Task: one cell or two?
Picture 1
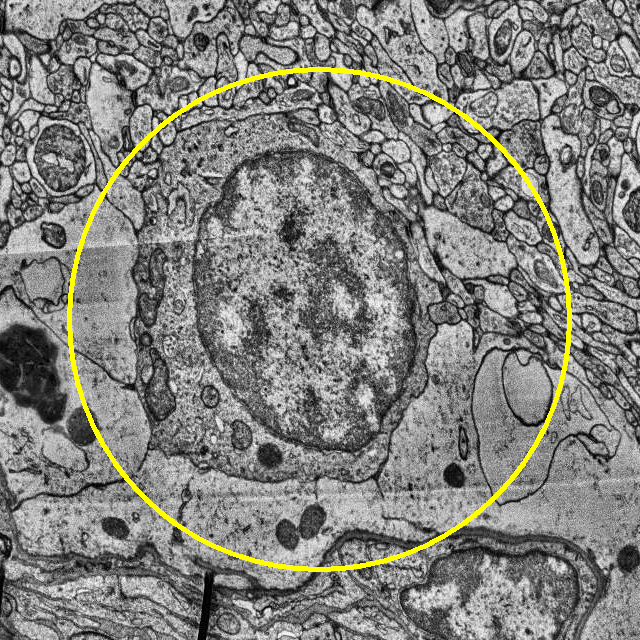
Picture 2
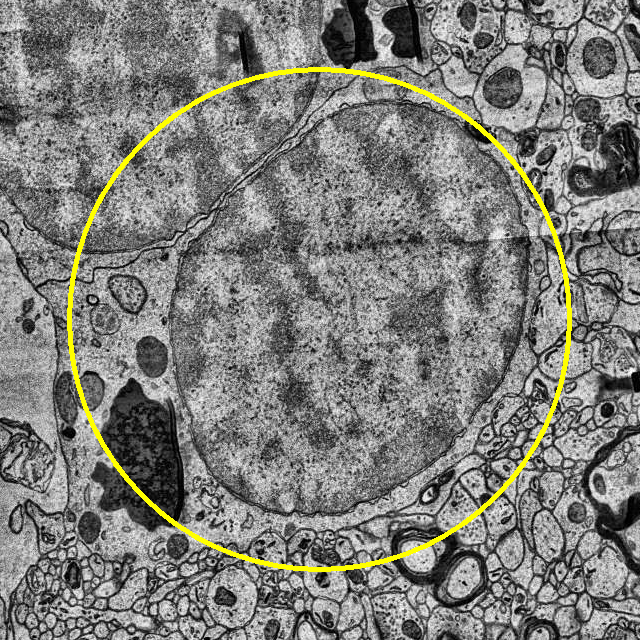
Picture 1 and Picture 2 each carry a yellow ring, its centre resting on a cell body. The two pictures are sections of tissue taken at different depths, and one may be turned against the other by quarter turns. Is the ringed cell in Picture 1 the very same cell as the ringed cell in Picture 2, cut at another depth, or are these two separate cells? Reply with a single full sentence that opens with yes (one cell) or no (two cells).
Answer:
No, the two rings indicate two different cells, not one.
